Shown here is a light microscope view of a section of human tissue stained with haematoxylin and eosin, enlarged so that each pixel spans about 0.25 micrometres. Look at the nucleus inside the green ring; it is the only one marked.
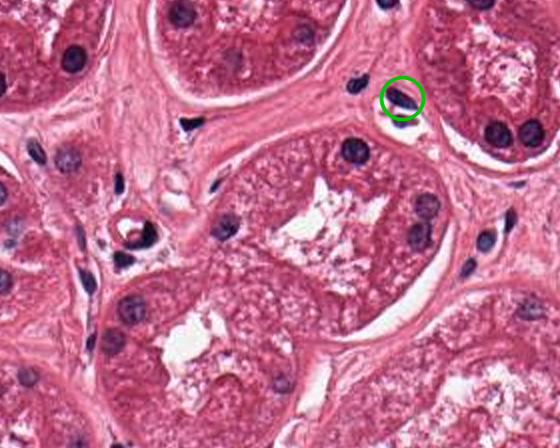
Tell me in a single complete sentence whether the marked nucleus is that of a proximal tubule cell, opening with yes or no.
No, the marked nucleus is to be assigned to a supporting cell, not to a proximal tubule cell.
